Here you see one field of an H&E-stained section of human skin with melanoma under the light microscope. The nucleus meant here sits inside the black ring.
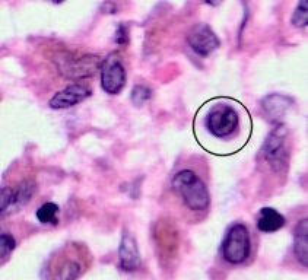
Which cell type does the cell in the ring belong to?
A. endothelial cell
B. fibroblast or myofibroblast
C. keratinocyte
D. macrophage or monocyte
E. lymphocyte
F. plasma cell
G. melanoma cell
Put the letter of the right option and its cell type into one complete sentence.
Option D names the cell in the ring correctly as a macrophage or monocyte.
